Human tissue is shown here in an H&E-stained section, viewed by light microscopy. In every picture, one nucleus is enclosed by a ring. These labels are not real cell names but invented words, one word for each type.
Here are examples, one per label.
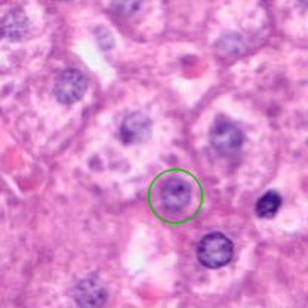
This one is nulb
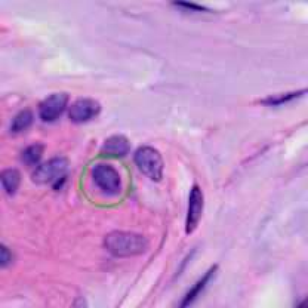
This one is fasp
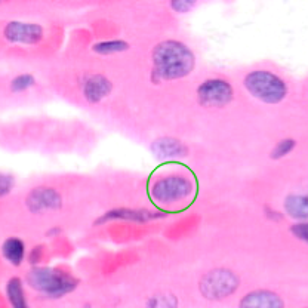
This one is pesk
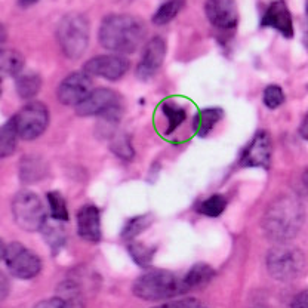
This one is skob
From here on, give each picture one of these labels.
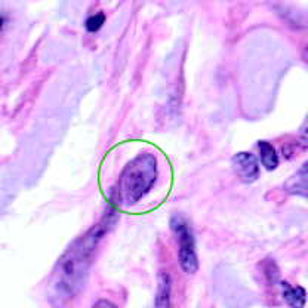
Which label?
skob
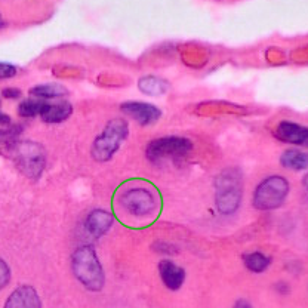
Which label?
skob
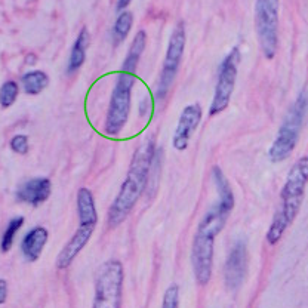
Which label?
fasp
